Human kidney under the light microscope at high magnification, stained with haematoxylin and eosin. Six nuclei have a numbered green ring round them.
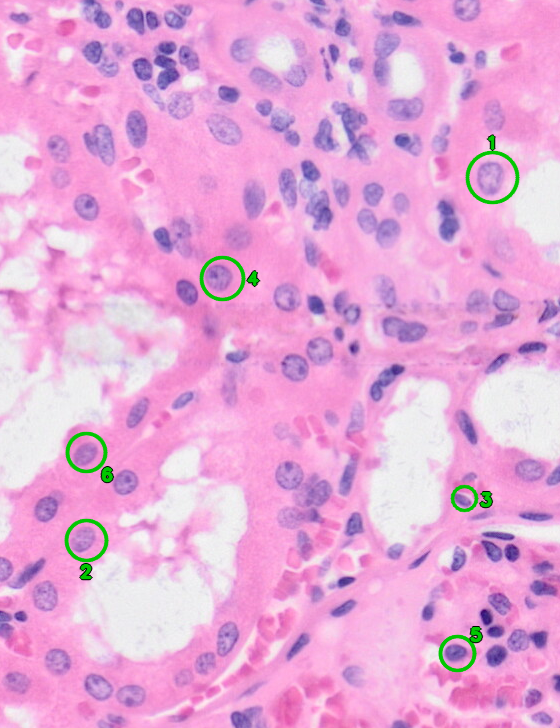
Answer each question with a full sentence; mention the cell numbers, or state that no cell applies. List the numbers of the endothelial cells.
The cells identified by the numbers 3 and 5 are endothelial cells.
